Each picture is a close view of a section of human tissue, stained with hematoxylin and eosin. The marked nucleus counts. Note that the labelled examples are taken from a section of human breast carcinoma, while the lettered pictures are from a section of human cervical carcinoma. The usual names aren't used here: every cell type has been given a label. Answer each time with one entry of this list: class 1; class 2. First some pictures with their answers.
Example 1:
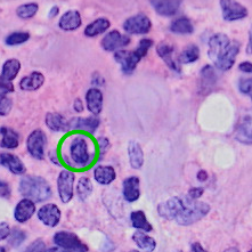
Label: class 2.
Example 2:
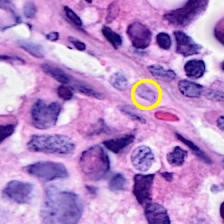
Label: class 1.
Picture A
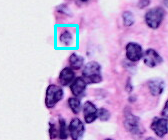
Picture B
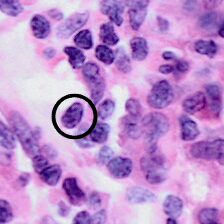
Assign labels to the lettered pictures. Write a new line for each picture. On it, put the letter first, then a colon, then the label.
A: class 2.
B: class 2.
